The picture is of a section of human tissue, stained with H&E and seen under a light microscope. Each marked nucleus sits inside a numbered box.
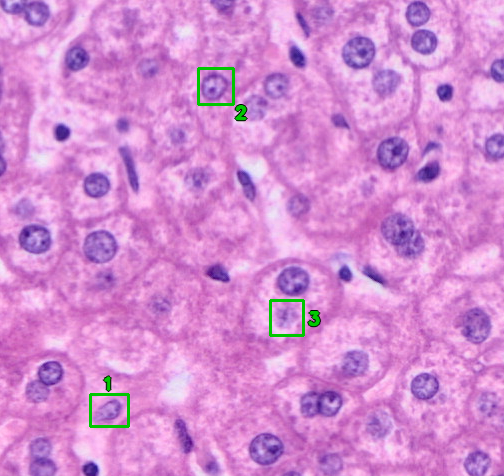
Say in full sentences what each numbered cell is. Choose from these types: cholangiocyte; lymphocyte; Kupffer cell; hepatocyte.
Cell 1 is a Kupffer cell, cell 2 is a hepatocyte and cell 3 is a hepatocyte.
